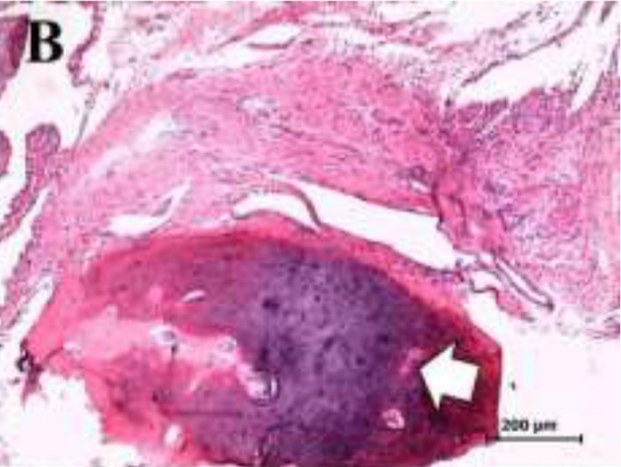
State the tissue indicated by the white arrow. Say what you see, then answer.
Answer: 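A dense, sharply bounded nodule of matrix with a strongly eosinophilic pink rim. Scattered cells in lacunae within the matrix. That points to this answer: Bone tissue.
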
